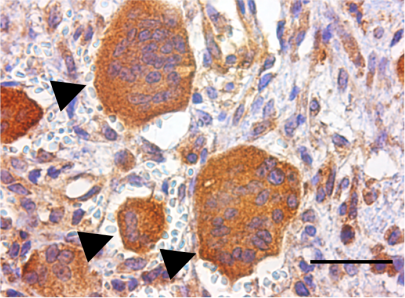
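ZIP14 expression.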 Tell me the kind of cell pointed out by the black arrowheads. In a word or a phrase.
Giant osteoclast-like cells.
